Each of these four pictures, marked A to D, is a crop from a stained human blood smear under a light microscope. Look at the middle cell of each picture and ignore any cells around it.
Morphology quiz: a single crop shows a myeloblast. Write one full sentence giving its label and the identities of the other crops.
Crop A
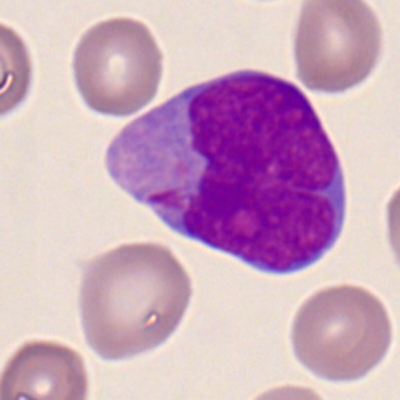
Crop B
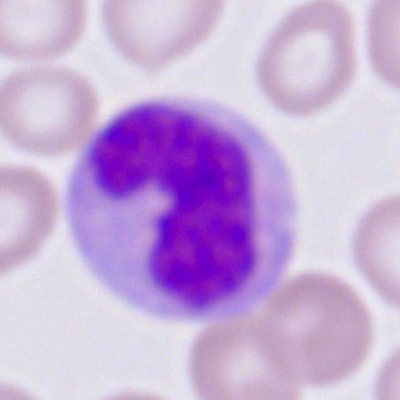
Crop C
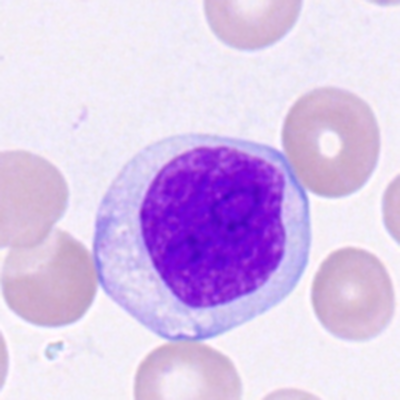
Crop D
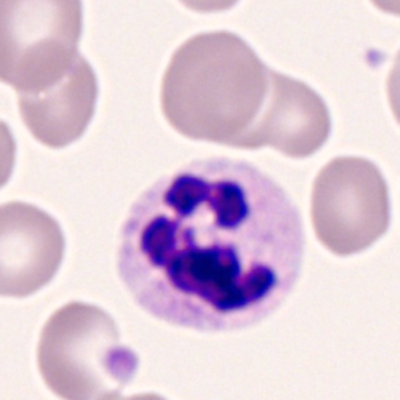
Crop A presents a myeloblast, while crop B is a monocyte, crop C is a lymphocyte and crop D is a segmented neutrophil.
